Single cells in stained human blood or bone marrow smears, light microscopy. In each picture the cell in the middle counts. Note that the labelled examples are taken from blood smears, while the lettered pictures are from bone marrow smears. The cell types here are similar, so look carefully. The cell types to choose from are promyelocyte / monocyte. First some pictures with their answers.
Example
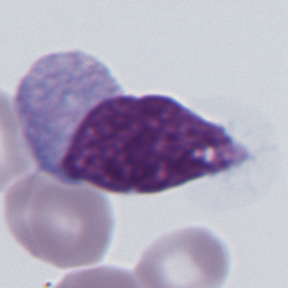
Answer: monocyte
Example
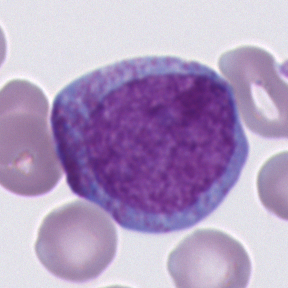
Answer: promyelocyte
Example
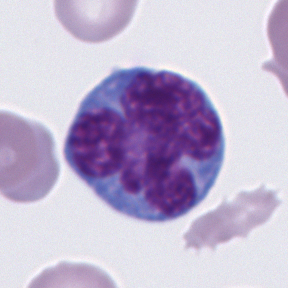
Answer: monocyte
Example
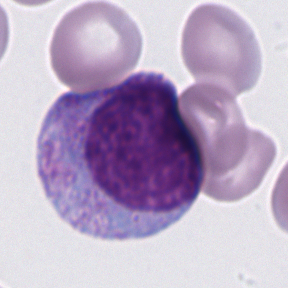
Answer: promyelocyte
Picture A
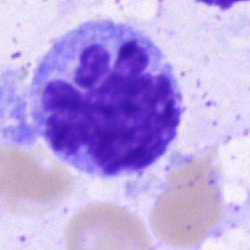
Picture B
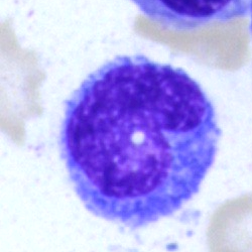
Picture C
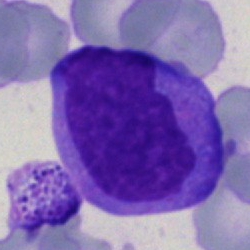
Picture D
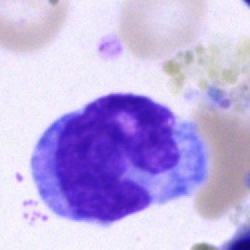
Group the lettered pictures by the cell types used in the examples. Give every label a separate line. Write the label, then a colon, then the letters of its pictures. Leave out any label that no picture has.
monocyte: A, B, C, D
